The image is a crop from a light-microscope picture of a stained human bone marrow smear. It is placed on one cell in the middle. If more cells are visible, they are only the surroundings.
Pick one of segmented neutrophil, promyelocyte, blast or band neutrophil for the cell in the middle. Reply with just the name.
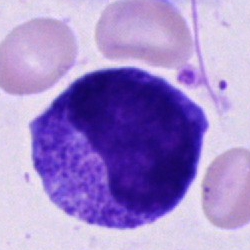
promyelocyte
